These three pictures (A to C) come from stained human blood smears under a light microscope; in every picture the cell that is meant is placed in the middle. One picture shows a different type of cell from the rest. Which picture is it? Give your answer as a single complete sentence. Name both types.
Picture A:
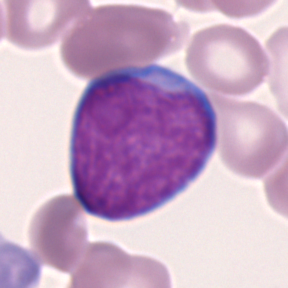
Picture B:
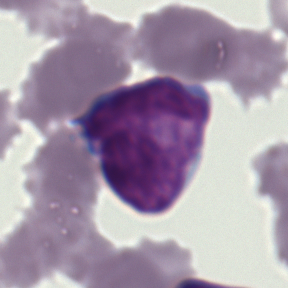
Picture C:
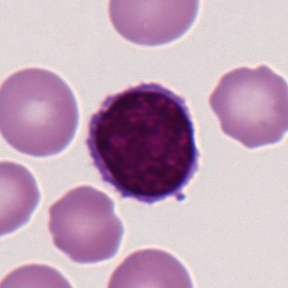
Picture C differs, because its cell is a typical lymphocyte and the rest are myeloblasts.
